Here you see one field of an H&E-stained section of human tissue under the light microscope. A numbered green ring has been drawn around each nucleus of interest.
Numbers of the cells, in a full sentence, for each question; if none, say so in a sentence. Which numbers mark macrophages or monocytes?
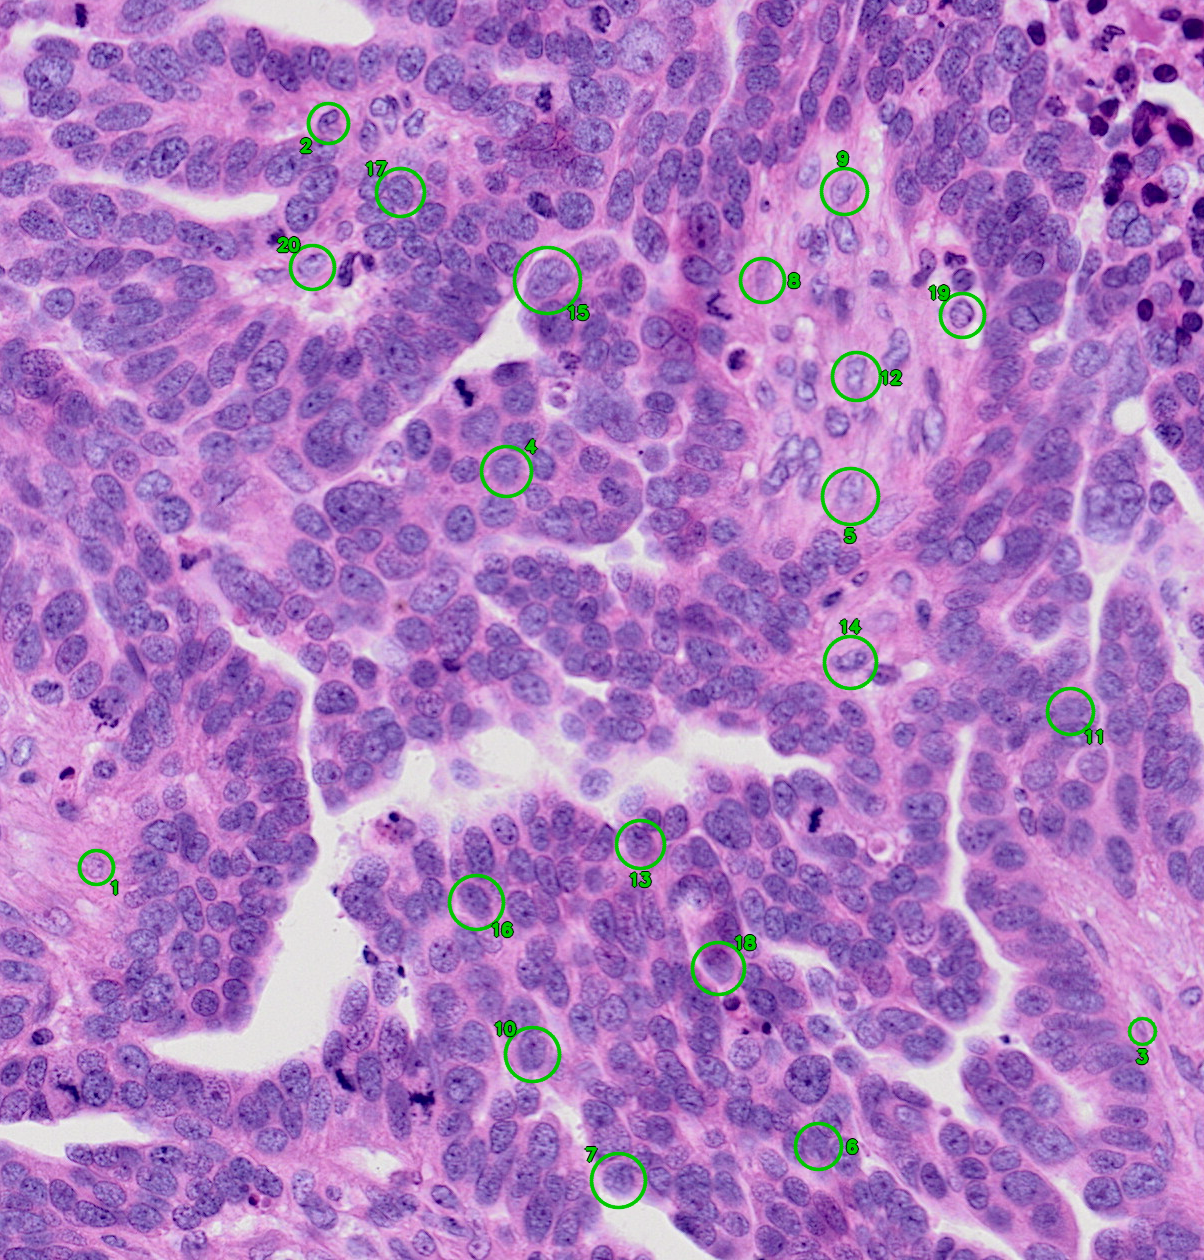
So, the cells with numbers 2 and 19 are macrophages or monocytes.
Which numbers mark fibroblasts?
Cells 1, 3, 5, 8, 9, 12, 14 and 20 share one type; they are fibroblasts.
